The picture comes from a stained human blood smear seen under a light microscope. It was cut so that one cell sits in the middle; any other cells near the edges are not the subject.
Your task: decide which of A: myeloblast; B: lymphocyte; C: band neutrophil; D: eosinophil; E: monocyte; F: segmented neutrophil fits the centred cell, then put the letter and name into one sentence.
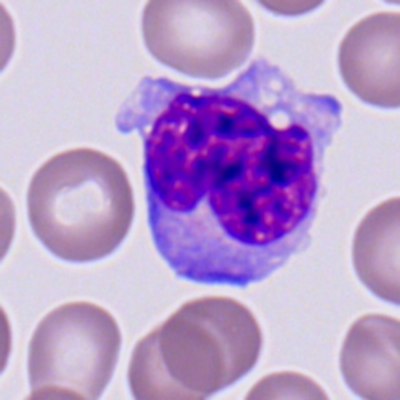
Well, the cell in the middle is a monocyte, making option E right.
